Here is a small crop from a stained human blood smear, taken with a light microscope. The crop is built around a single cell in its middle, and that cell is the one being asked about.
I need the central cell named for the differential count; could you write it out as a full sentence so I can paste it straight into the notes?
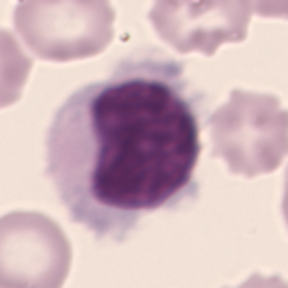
Positioned in the middle of the crop is a hairy cell.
